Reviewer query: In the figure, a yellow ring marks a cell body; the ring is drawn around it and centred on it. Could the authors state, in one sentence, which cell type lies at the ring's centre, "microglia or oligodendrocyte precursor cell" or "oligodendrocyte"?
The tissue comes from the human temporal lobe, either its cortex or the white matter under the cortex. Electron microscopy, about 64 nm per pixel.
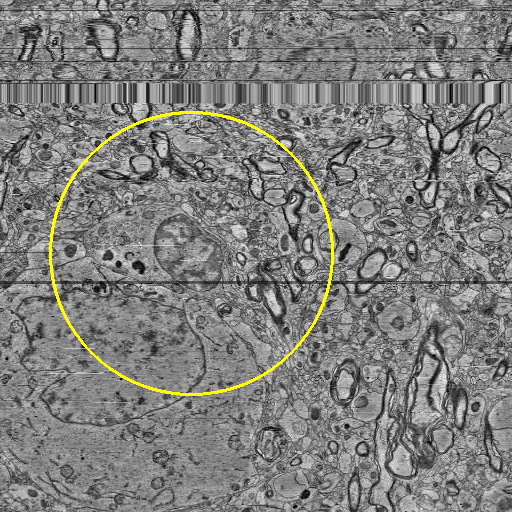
The ring is centred on an oligodendrocyte.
